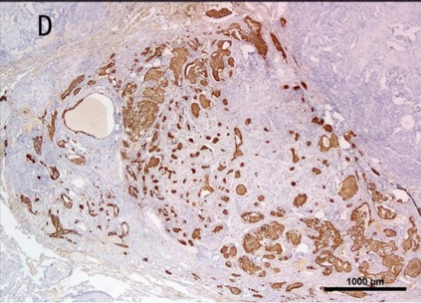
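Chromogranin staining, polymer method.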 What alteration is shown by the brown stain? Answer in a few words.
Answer: Tumorlet.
